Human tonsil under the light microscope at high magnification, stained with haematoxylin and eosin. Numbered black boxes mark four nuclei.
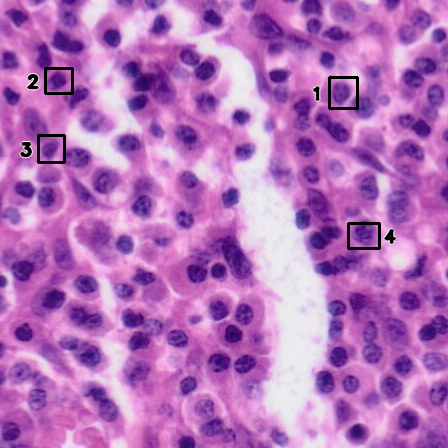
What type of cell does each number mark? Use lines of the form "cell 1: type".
cell 1: plasma cell
cell 2: squamous epithelial cell
cell 3: squamous epithelial cell
cell 4: plasma cell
